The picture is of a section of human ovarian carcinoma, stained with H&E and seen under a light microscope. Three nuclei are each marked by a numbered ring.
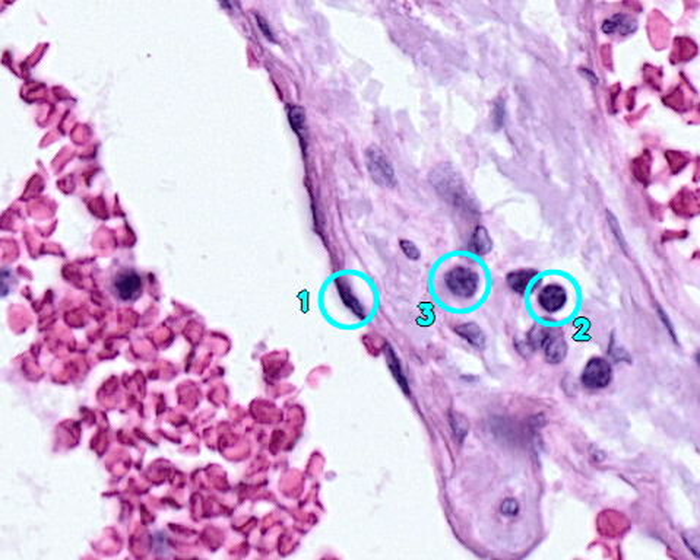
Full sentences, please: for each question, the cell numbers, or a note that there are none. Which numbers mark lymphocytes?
The cells assigned the numbers 2 and 3 are lymphocytes.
